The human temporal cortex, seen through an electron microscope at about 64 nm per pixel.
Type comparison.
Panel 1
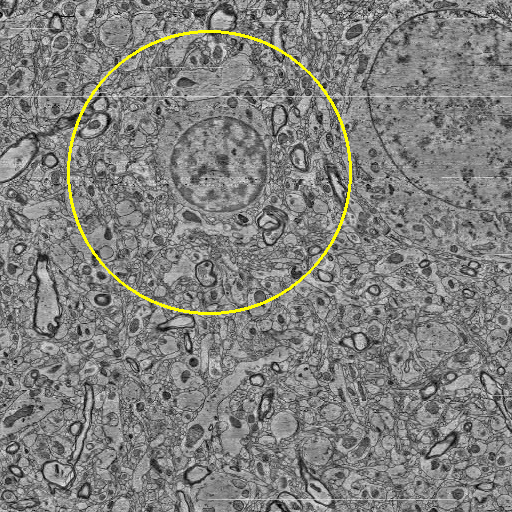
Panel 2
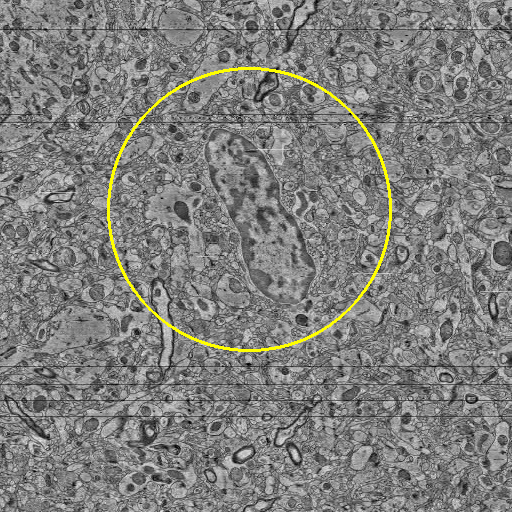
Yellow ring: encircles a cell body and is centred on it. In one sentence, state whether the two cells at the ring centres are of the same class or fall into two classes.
In these panels, the two cells at the ring centres fall into two classes.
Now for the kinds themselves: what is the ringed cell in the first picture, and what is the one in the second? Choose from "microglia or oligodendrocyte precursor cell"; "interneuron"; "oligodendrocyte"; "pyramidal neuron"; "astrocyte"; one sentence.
Here the first cell is an oligodendrocyte and the second cell is a microglial cell or oligodendrocyte precursor cell.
